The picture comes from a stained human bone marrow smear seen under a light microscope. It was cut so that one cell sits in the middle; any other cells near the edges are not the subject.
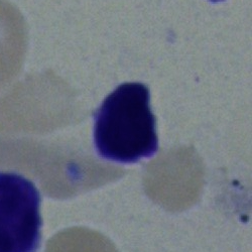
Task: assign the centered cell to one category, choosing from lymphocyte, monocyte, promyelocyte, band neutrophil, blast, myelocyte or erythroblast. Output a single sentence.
What sits at the centre of this crop is a lymphocyte.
